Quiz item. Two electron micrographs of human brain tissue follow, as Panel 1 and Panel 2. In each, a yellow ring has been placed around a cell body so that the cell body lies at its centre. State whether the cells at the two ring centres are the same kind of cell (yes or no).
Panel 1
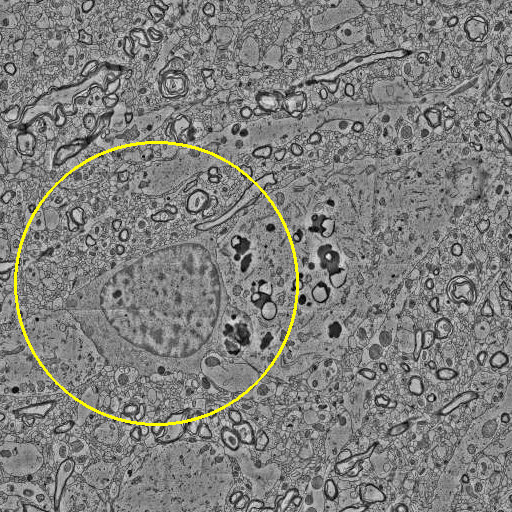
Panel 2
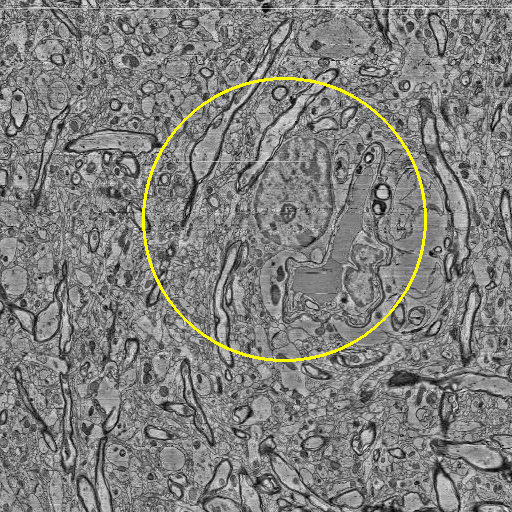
yes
